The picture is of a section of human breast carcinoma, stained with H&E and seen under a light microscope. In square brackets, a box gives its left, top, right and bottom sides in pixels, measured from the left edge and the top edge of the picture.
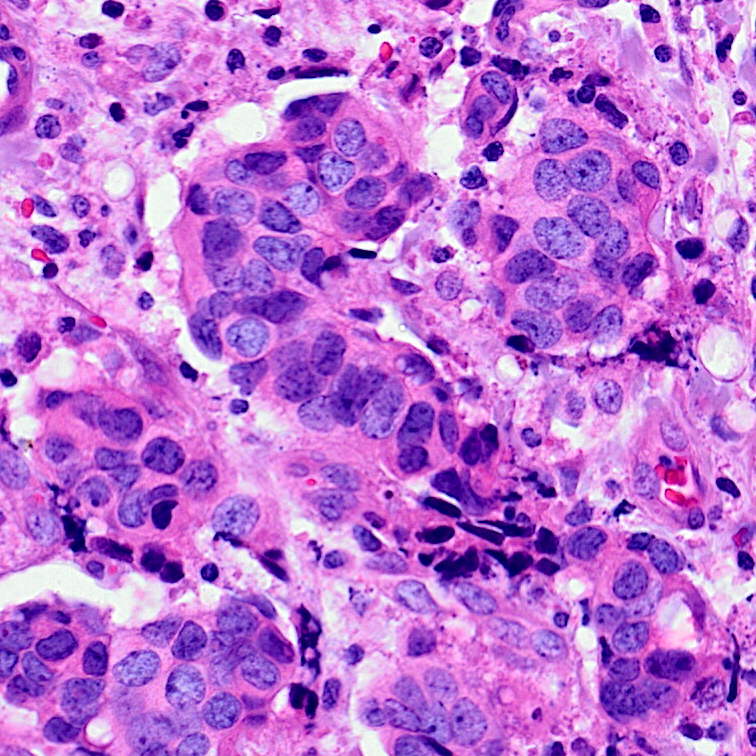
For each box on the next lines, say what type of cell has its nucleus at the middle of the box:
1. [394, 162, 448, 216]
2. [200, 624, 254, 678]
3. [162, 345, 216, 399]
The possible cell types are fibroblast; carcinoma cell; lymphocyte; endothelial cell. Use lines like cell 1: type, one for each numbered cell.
cell 1: carcinoma cell
cell 2: carcinoma cell
cell 3: lymphocyte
